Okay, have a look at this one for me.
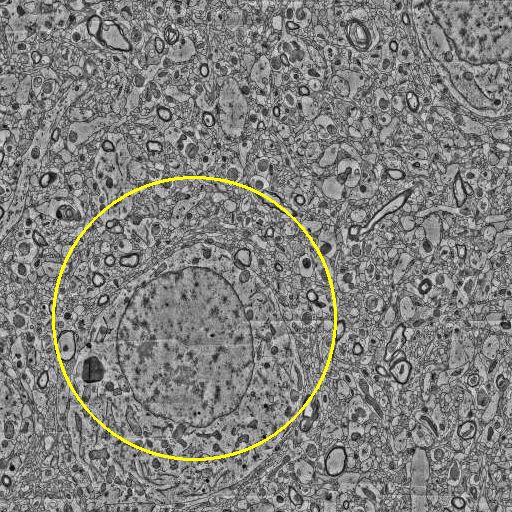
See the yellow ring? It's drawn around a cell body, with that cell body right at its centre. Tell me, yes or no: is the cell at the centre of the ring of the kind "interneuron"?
Yes, it is of that kind.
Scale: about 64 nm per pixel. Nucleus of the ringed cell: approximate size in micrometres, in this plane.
Roughly 10 micrometres by 9 micrometres, in this plane.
